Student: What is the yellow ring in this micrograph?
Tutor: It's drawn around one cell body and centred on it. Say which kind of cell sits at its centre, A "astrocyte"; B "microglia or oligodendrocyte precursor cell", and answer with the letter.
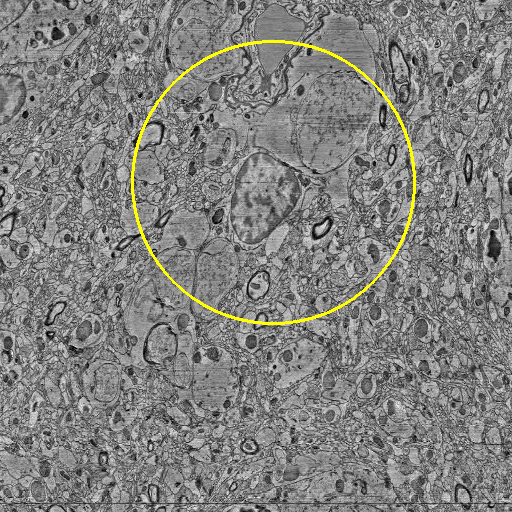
B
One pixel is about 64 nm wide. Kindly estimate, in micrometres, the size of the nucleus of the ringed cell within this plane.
Roughly 6 by 4 micrometres; in this plane, clearly longer than it is wide.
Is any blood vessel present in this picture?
Yes, one appears.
